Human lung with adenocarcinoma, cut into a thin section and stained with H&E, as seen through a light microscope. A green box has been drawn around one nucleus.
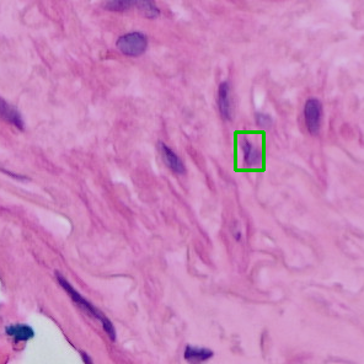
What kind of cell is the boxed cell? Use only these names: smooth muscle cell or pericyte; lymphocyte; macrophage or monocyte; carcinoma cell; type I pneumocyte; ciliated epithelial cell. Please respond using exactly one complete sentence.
The category to which the boxed cell belongs is that of a smooth muscle cell or pericyte.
